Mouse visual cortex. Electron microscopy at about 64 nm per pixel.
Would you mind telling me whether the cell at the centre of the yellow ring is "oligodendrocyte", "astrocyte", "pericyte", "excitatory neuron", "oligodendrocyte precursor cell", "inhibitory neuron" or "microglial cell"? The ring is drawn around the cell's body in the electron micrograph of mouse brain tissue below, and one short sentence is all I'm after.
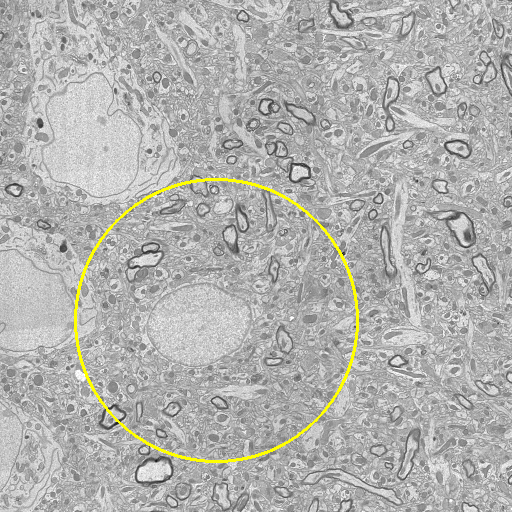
In the centre of the ring lies an astrocyte.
